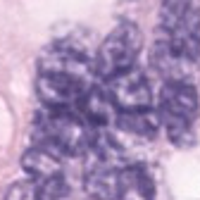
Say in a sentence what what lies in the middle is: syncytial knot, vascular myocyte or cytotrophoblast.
This is a syncytial knot.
